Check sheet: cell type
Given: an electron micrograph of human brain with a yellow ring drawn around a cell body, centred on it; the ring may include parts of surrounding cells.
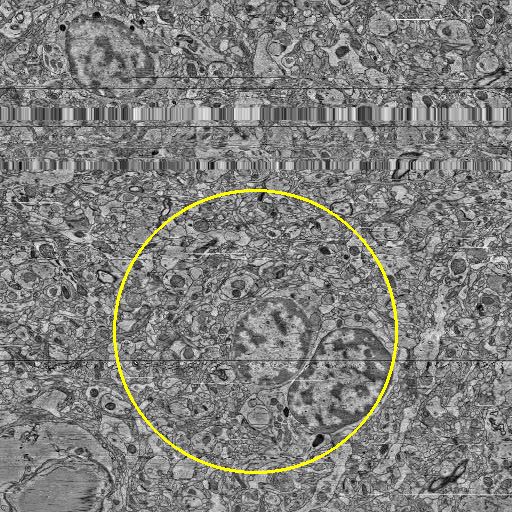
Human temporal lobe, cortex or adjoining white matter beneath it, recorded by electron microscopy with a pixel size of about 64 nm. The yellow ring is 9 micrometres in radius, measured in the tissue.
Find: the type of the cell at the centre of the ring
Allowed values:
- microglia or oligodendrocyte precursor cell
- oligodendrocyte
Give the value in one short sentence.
Here the ringed cell is an oligodendrocyte.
